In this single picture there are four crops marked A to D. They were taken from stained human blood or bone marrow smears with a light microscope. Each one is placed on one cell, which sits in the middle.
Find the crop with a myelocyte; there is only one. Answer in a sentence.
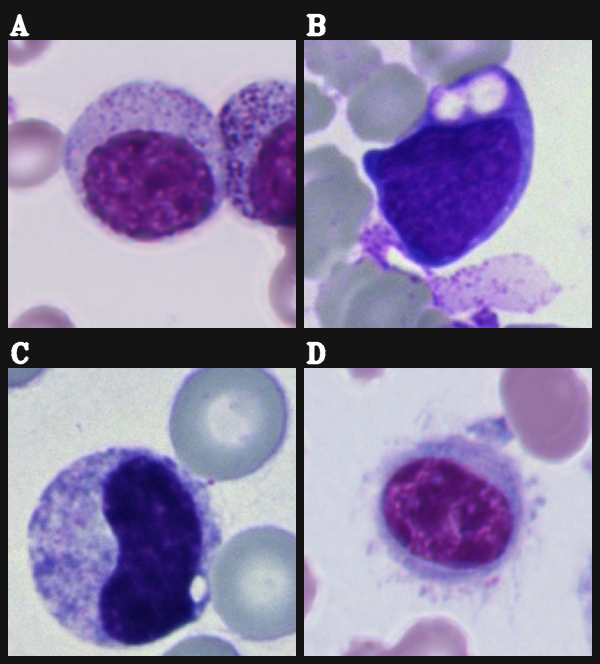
The one that shows a myelocyte is crop A.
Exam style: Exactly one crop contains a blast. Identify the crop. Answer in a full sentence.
The crop showing a blast in this series is crop B.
